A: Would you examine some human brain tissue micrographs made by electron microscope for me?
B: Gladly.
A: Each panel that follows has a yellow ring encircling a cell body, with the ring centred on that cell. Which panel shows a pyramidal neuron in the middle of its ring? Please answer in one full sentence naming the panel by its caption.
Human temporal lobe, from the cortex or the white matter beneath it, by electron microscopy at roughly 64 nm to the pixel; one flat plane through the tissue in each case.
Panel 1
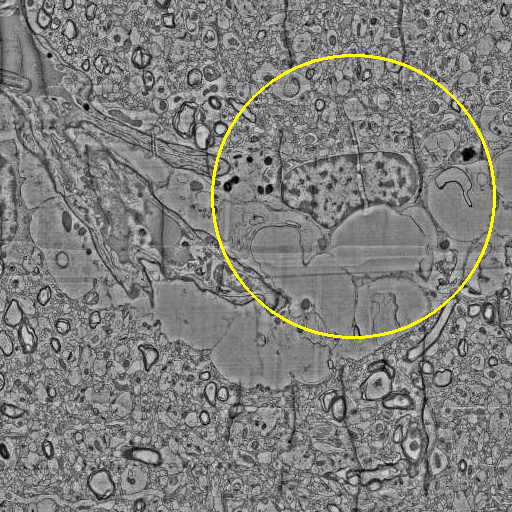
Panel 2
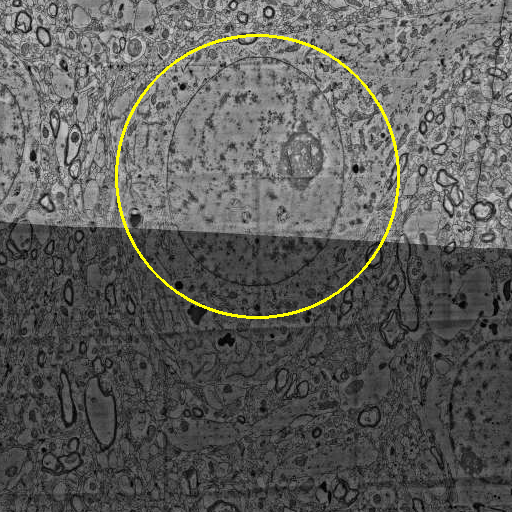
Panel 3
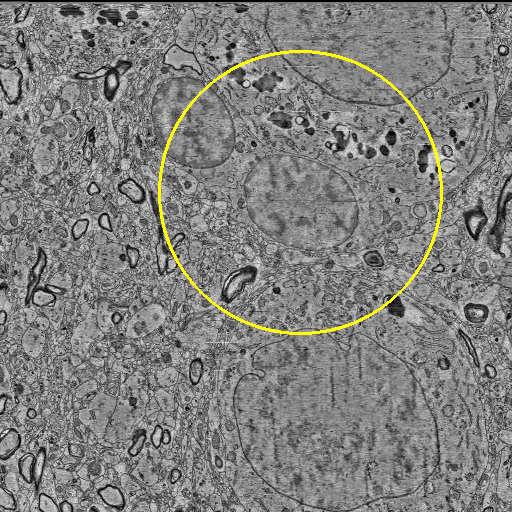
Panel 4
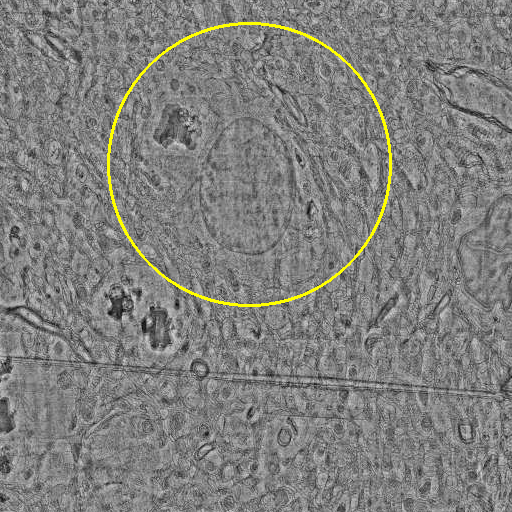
Panel 2 is where the ring sits centred on the requested cell.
